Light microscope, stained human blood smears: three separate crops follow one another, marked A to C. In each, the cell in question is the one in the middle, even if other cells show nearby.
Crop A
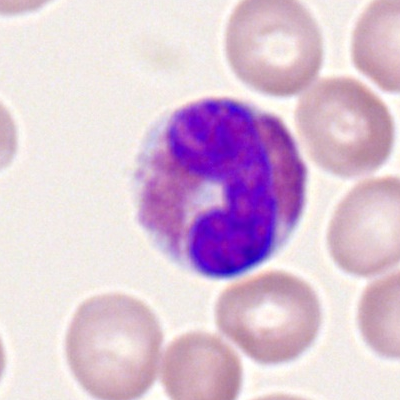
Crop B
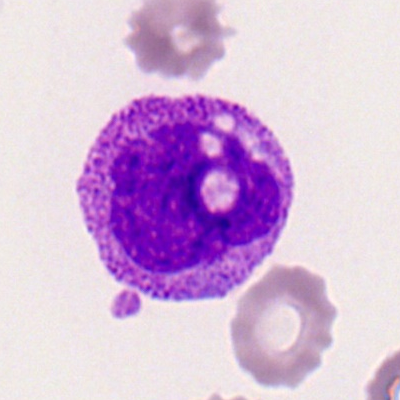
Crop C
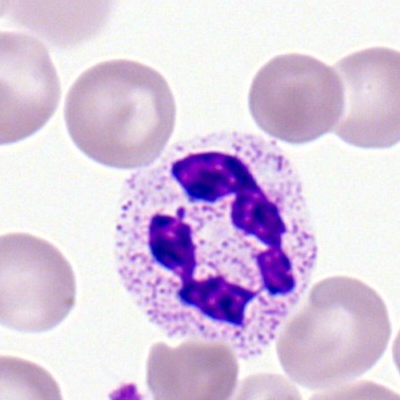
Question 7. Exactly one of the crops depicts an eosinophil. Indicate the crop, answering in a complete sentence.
Among the crops, only crop A contains an eosinophil.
